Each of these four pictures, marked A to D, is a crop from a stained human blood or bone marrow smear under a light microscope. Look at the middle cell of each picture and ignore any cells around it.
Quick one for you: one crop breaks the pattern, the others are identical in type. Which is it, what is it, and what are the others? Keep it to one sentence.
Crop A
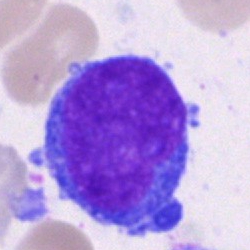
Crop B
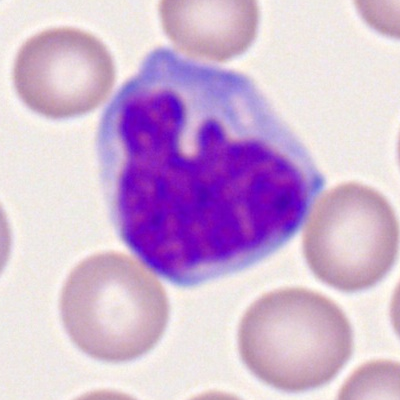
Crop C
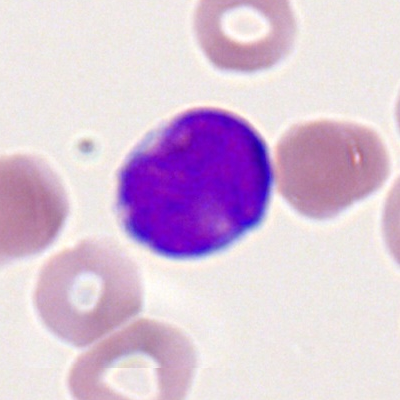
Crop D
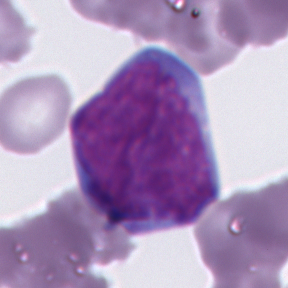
Among the crops, crop B is unique in showing a monocyte; the others show blasts.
